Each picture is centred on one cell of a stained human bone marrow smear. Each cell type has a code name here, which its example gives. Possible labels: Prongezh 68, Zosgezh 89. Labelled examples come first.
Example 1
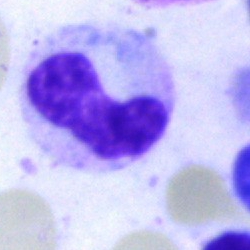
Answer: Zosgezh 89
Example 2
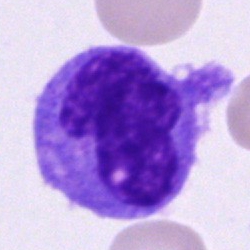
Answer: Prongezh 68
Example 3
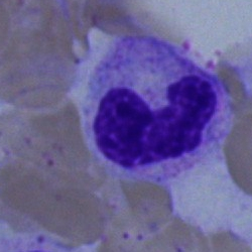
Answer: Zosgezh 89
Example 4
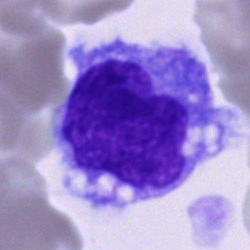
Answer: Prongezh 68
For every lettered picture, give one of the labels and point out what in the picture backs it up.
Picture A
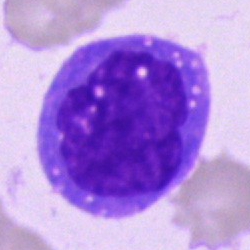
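Label: Prongezh 68. The nucleus fills most of the cell.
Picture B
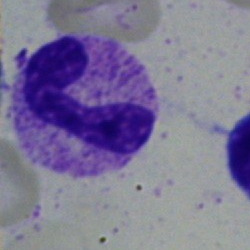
Label: Zosgezh 89. The cytoplasm is plentiful and has a pinkish-lilac tint.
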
